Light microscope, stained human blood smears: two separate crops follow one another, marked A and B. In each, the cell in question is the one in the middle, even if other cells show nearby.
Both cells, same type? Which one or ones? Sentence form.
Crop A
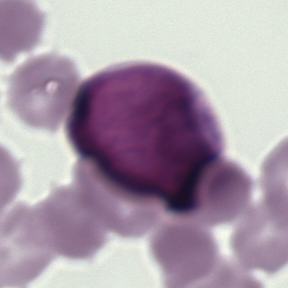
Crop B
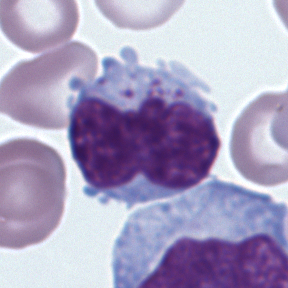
No, the middle of crop A shows a myeloblast, and the middle of crop B shows a large granular lymphocyte.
